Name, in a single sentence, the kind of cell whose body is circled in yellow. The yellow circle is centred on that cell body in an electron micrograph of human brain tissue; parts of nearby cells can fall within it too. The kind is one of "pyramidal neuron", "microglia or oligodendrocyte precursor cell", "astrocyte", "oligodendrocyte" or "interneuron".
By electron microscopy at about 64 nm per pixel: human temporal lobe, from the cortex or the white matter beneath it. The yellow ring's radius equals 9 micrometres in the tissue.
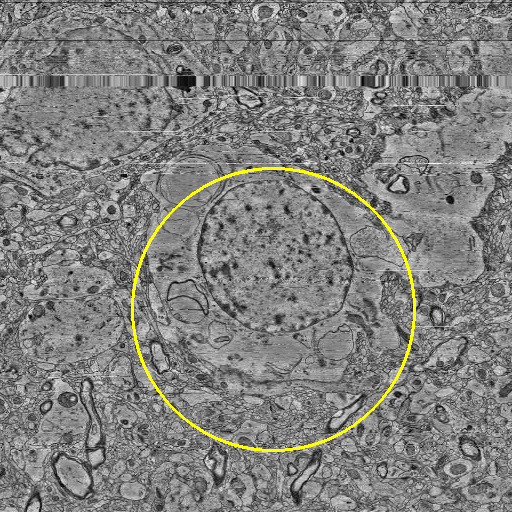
The circled cell body belongs to an astrocyte.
